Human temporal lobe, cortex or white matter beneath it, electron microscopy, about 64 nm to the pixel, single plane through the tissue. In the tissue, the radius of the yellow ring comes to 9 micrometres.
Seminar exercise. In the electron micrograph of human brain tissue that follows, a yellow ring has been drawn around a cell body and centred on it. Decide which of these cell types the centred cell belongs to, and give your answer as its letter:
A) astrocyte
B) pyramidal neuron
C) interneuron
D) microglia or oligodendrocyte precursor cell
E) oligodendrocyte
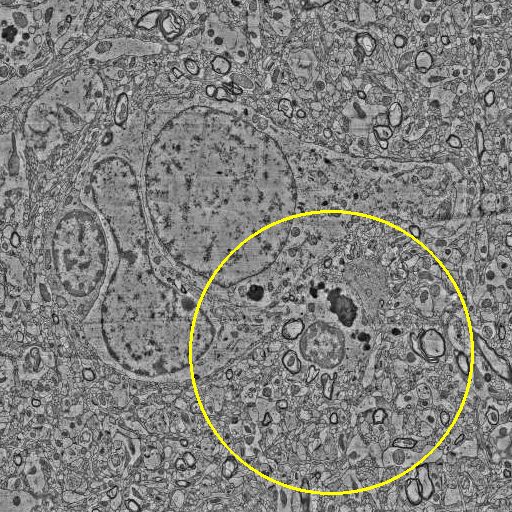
E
